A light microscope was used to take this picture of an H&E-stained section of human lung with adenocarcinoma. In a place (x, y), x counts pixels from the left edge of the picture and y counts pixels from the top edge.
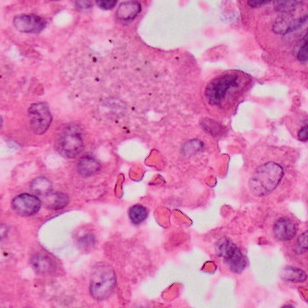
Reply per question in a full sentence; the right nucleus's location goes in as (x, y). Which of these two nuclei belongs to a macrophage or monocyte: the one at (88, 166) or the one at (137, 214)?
The nucleus whose position is (88, 166) belongs to a macrophage or monocyte.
